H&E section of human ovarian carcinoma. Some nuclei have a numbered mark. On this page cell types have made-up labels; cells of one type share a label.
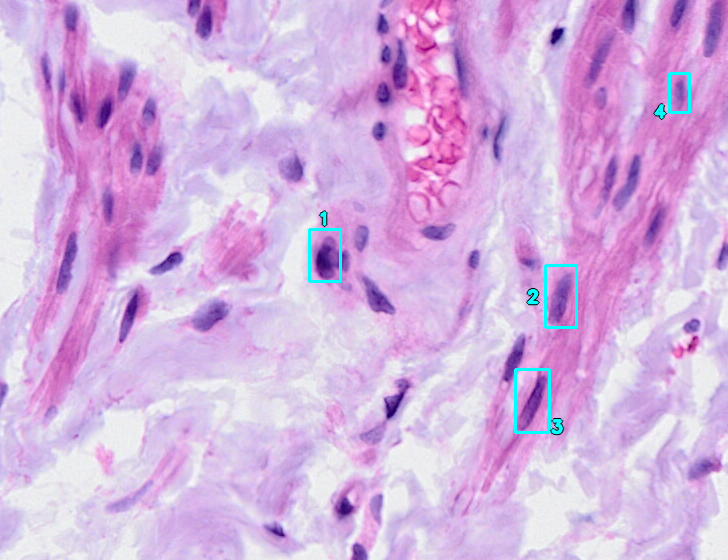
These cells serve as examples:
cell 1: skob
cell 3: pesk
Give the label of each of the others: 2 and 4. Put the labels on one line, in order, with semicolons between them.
pesk; pesk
